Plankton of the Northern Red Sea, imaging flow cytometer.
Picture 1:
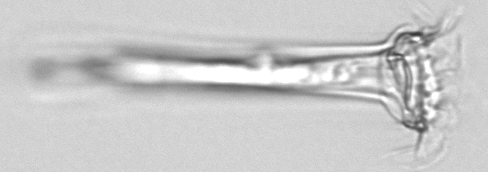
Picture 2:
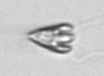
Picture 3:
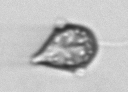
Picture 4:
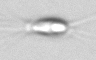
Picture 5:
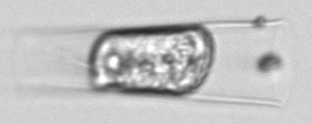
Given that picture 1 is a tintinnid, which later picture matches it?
5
